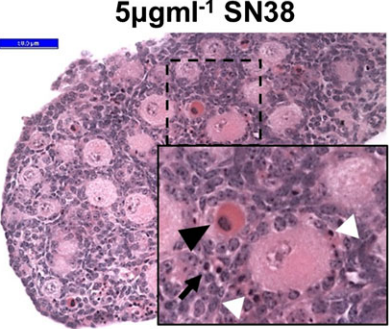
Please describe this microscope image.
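This is ovarian cortex with follicles at early stages set in a densely cellular stroma. Oocytes appear as round cells with pale pink, finely granular cytoplasm, each ringed by a layer of small granulosa cells with dark purple nuclei. In the magnified area one oocyte is small, shrunken and stained a dense, deep red, unlike its pale neighbours. A larger oocyte is surrounded by an irregular, disorganised layer of granulosa cells. Between the follicles, some stromal cells have small, dark, condensed nuclei, suggesting degeneration.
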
